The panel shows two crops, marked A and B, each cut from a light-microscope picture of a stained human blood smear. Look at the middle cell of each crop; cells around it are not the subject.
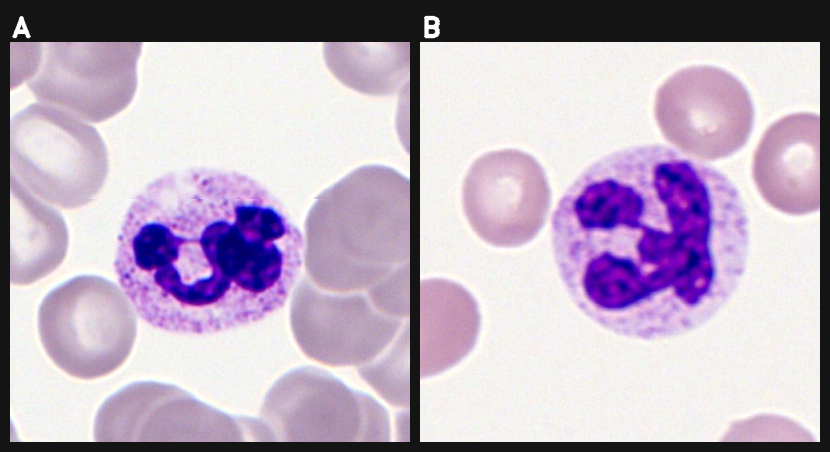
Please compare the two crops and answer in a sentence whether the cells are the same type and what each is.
Yes, the two crops show segmented neutrophils, one cell each.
